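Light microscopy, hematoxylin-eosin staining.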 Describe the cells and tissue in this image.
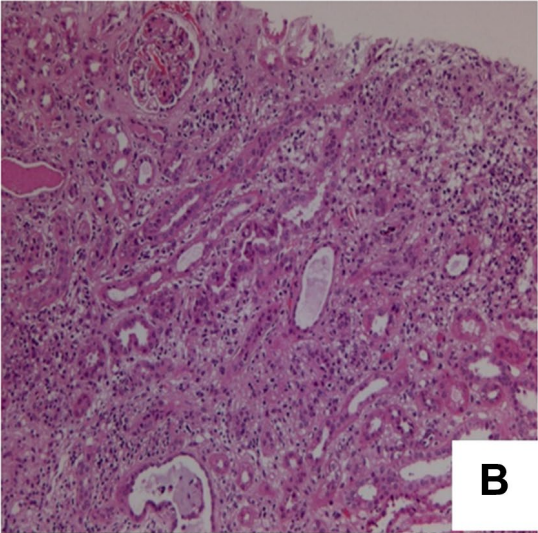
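This is renal tissue with a glomerulus at the top and many tubules below, but the striking feature is the crowded interstitium. Between the tubules lie countless small cells with dark, round, blue-purple nuclei and scant cytoplasm, packed in sheets that push the tubules apart. These are inflammatory cells infiltrating the interstitium. The tubules, lined by pink-staining epithelium, appear scattered and some are small or irregular among the infiltrate. At the left edge a vessel or tubule holds homogeneous bright pink material. The glomerulus above shows a rounded capillary tuft within its capsule.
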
